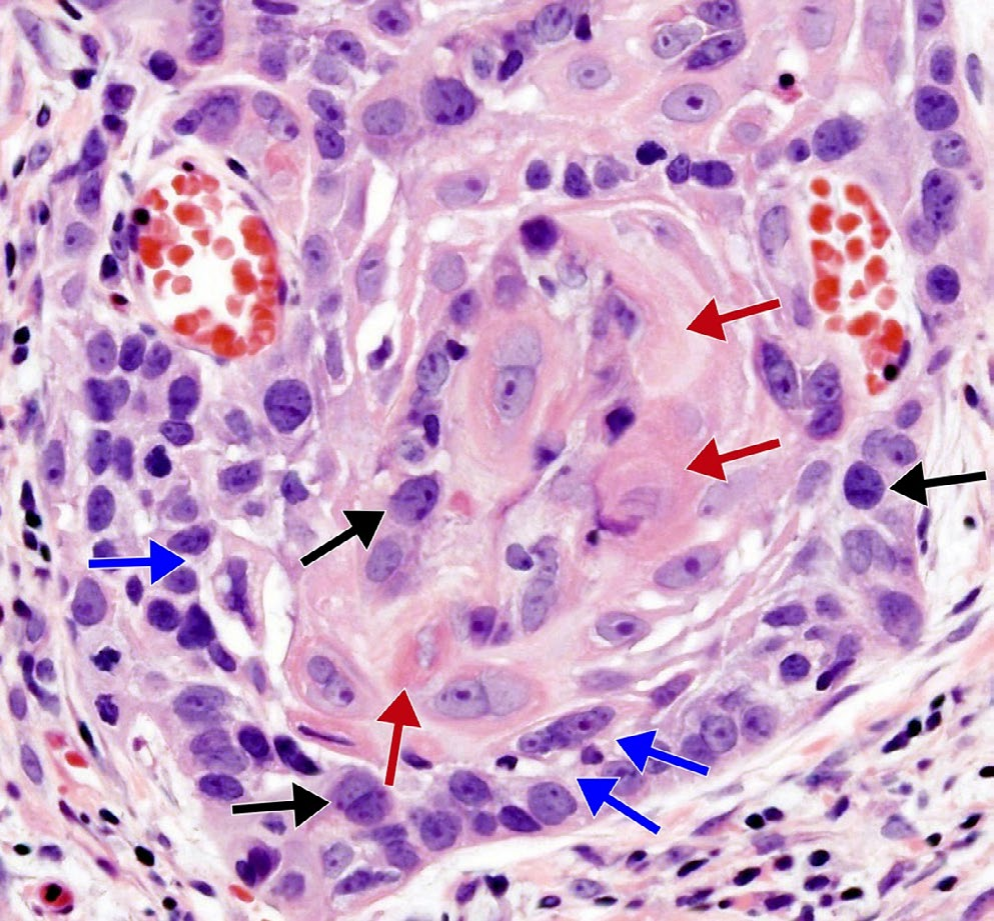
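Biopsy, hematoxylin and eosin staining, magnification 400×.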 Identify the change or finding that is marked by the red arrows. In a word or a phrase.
Cytoplasmic keratinization.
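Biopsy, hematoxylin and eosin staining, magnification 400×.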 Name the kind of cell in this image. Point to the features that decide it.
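Atypical squamous cells. Cohesive nests of large polygonal cells with pink cytoplasm. Nuclei vary in size and shape, many large and dark. The nests are surrounded by stroma with small vessels.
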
